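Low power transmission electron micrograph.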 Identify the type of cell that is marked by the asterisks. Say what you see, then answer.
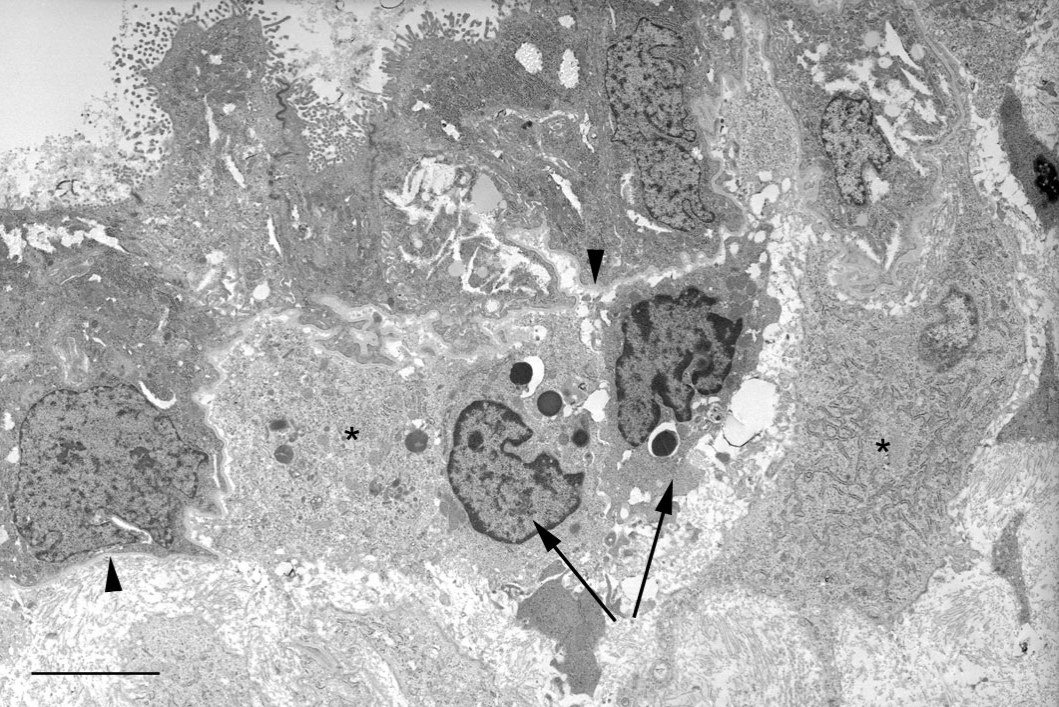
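The starred cells are large with abundant cytoplasm. Their cytoplasm is paler than that of the arrowed cells. So: decidual cells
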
